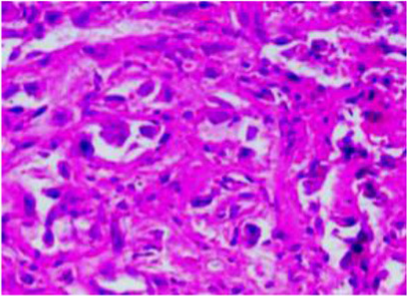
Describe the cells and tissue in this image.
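At high magnification this tumour shows plump epithelioid tumour cells clustered in small nests and cords separated by strands of bright pink stroma. The cells have abundant pink cytoplasm and large, irregular, dark purple nuclei that vary in size and shape, several being hyperchromatic and angular. Many cells border or line small clear, slit-like or rounded spaces, and some cytoplasm looks vacuolated. The nests are outlined by pink fibrous bands that form curved partitions across the field, giving a loosely lobulated arrangement. The pleomorphism of the nuclei is the most striking departure from normal tissue.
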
